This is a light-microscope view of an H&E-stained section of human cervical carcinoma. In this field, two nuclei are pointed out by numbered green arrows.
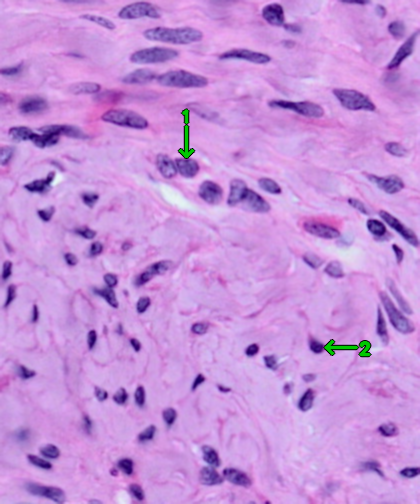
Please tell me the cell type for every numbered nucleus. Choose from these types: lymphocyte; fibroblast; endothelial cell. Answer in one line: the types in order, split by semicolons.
endothelial cell; fibroblast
